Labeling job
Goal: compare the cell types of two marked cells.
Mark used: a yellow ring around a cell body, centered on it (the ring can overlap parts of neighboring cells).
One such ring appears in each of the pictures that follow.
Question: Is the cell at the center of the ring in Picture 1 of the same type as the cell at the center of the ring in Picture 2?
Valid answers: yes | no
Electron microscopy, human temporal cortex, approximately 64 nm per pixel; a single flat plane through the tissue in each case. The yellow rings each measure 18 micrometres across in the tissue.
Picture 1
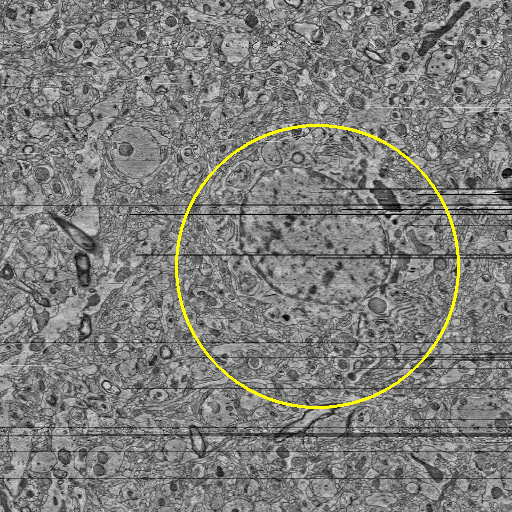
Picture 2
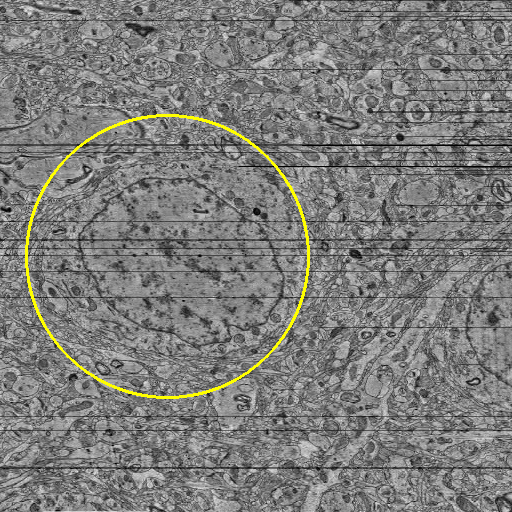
no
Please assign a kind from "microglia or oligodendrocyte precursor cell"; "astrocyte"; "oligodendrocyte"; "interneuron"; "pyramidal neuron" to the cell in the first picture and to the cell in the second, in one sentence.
In the first picture we have an astrocyte, and in the second, a pyramidal neuron.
